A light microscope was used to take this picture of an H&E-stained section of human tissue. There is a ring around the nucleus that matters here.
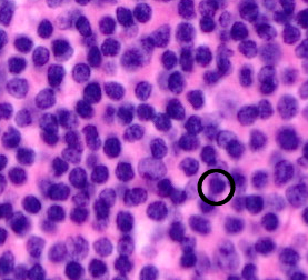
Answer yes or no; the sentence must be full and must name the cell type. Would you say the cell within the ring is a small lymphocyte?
Yes, correct on this one: the cell within the ring is a small lymphocyte.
